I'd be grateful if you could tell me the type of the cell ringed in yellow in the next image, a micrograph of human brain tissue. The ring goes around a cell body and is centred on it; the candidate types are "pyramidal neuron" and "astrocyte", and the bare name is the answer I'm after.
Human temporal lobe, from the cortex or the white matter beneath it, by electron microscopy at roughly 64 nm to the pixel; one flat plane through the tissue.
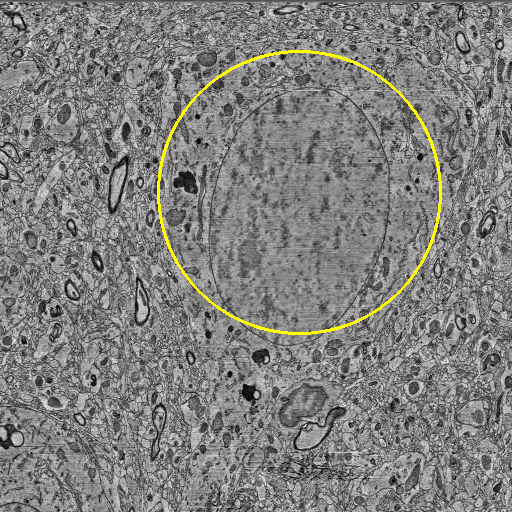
pyramidal neuron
